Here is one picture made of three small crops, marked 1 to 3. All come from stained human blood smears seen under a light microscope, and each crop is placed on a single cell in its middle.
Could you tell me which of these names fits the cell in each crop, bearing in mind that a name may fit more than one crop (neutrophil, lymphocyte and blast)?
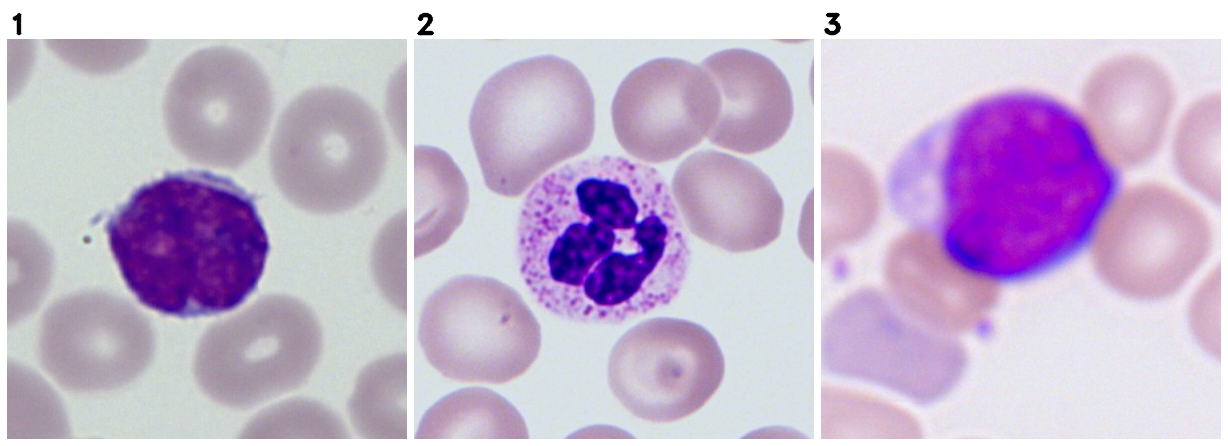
1: lymphocyte
2: neutrophil
3: blast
